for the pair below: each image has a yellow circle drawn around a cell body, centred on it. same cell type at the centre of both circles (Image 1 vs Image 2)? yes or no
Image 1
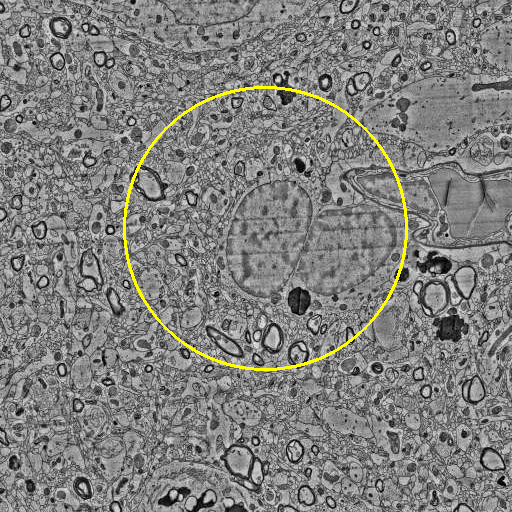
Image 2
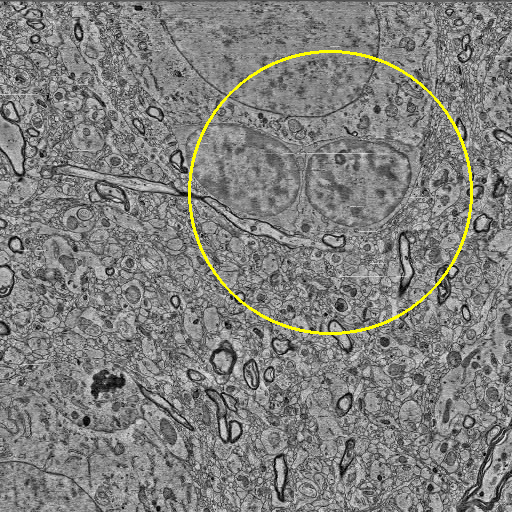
yes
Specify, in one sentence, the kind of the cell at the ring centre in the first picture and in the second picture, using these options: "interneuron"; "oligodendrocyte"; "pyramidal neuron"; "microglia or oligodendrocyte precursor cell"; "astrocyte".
Each of the ringed cells, first and second, is an oligodendrocyte.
